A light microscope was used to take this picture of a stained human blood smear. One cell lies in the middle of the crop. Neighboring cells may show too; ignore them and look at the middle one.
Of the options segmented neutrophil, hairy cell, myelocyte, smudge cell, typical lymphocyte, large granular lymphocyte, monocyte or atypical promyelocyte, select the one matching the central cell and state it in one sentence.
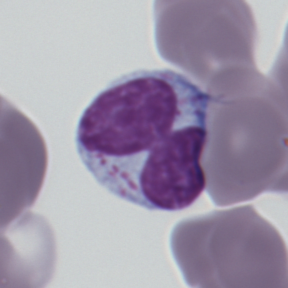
The cell positioned in the middle of the field is a large granular lymphocyte.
